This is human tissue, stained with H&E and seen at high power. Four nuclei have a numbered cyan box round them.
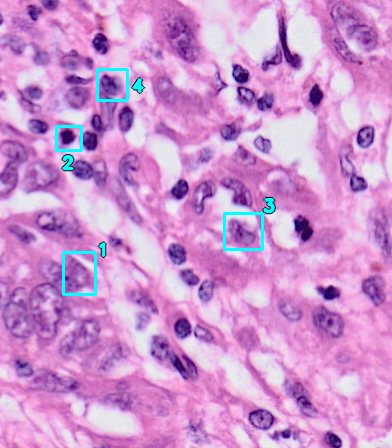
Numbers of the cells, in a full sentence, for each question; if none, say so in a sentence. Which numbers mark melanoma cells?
Identified as melanoma cells are the cells numbered 1 and 3.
